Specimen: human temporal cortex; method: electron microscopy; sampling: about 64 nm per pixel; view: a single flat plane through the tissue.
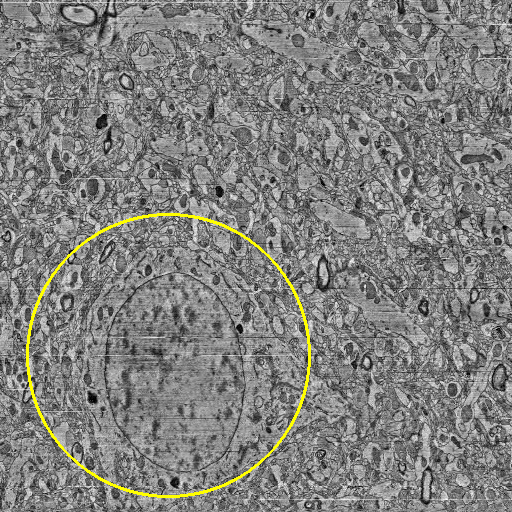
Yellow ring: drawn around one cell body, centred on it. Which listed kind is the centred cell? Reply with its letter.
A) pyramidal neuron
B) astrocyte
A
